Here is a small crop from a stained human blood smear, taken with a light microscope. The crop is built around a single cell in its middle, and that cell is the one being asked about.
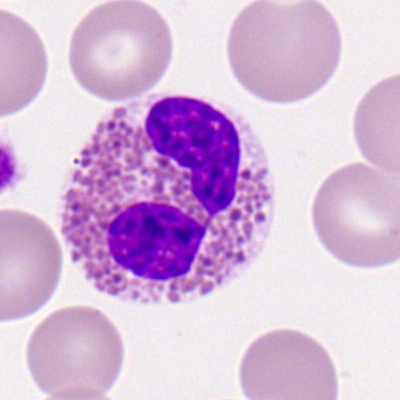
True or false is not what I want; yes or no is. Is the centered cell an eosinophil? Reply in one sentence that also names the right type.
Yes, this central cell is an eosinophil.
